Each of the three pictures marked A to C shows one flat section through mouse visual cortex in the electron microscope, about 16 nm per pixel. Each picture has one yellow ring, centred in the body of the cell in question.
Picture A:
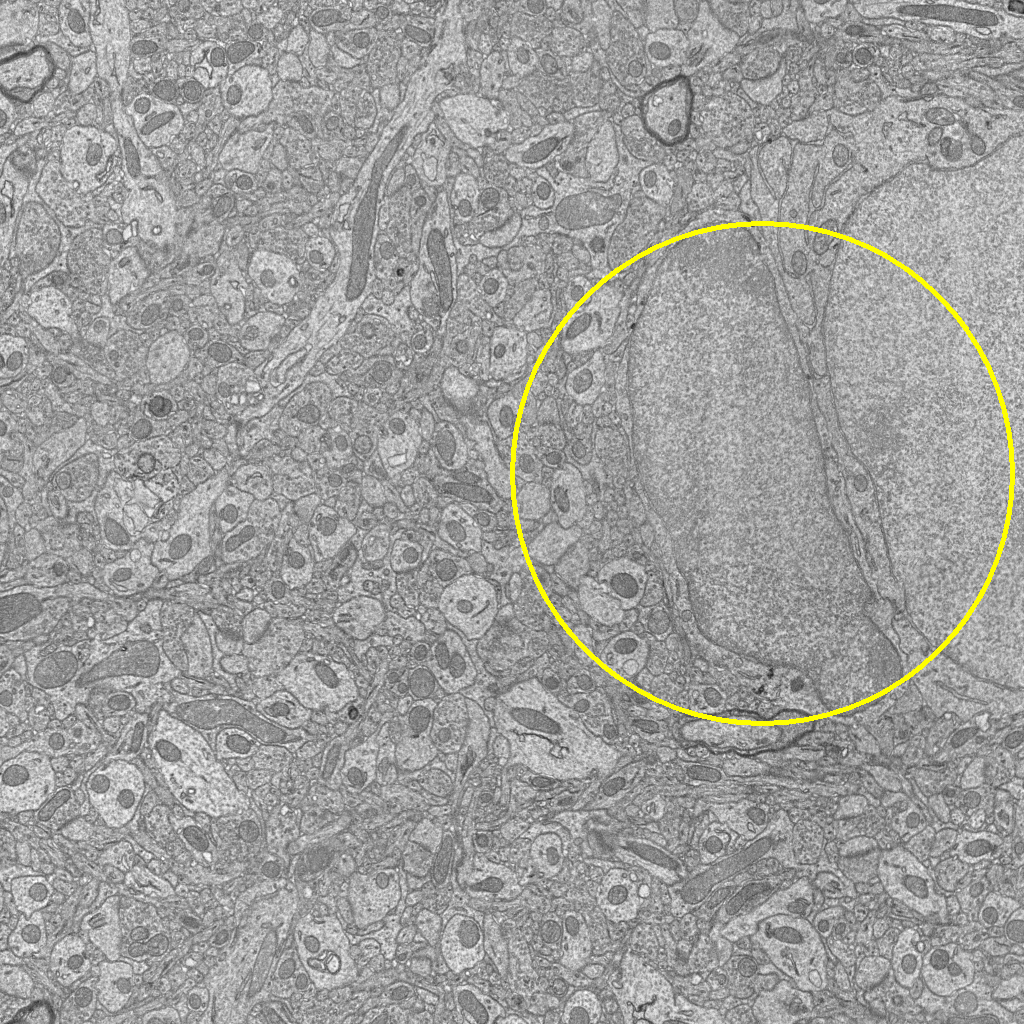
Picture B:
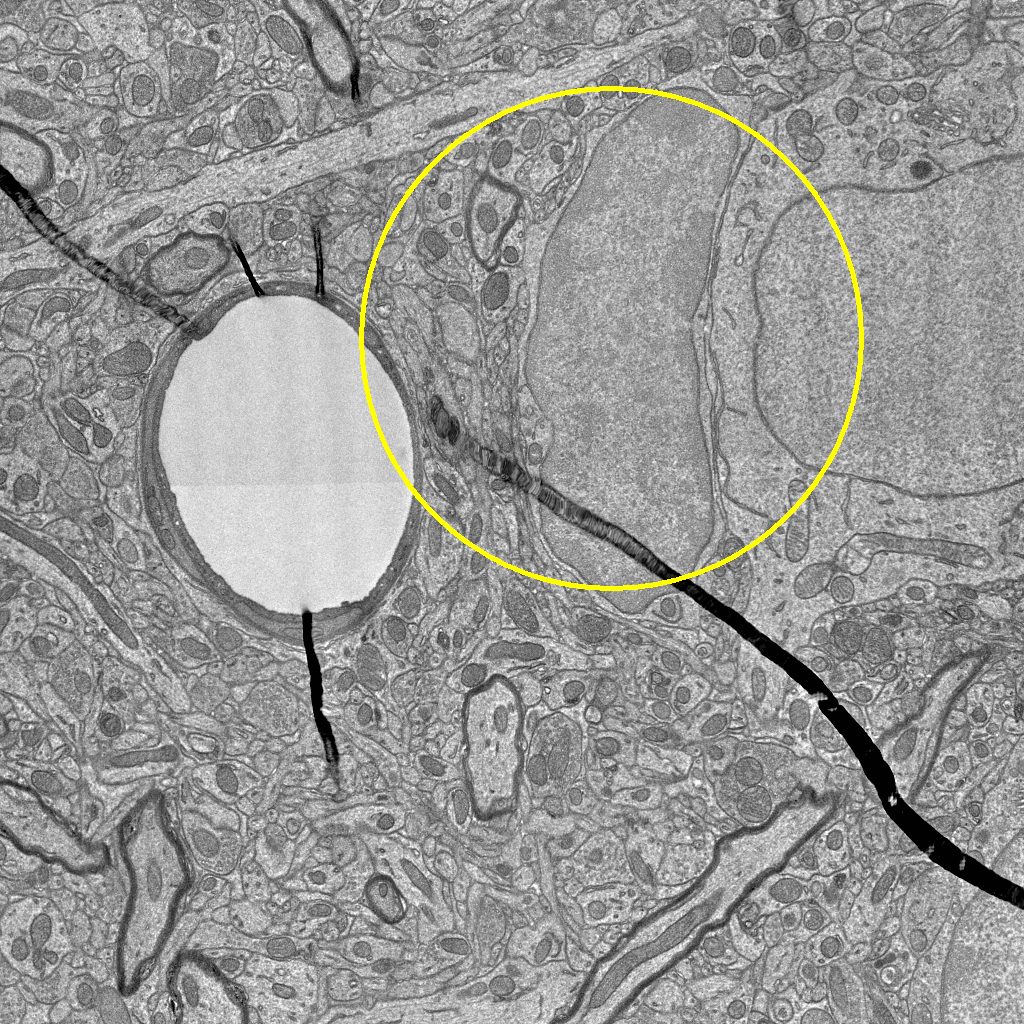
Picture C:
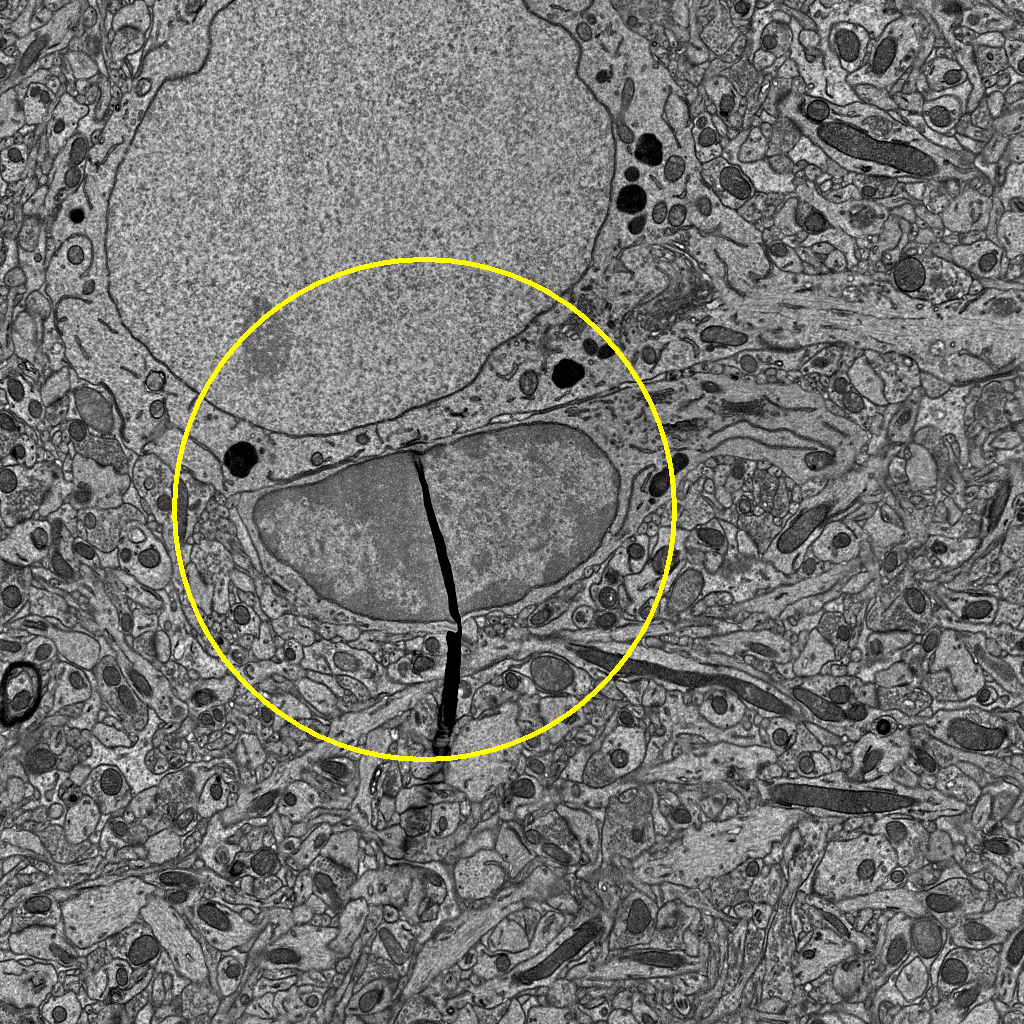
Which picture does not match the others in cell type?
Picture A differs, because its cell is an oligodendrocyte precursor cell and the rest are microglial cells.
